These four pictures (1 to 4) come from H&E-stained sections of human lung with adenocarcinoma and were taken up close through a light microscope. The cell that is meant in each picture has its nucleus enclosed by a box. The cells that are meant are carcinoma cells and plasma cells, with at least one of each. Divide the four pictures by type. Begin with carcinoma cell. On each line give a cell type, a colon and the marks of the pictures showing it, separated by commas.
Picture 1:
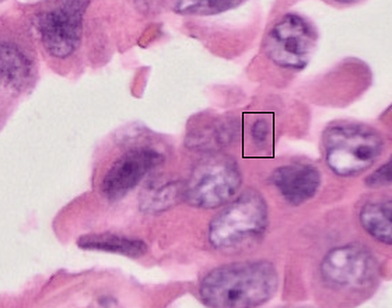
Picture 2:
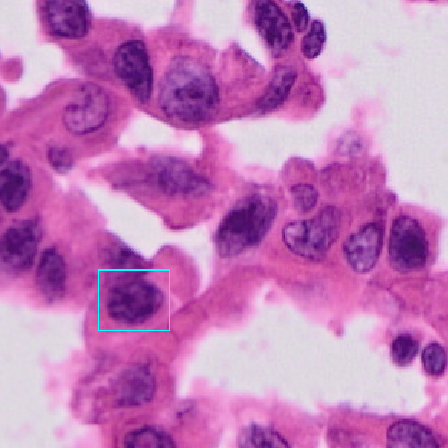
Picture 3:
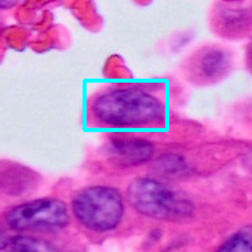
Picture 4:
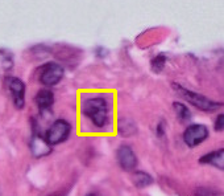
carcinoma cell: 1, 2, 3
plasma cell: 4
